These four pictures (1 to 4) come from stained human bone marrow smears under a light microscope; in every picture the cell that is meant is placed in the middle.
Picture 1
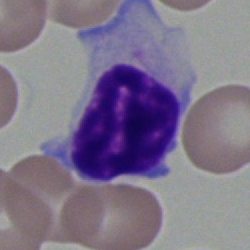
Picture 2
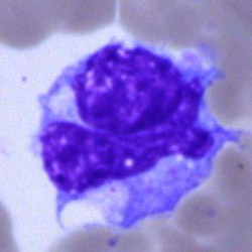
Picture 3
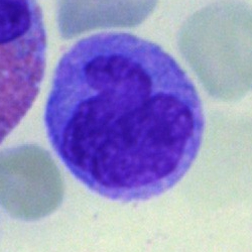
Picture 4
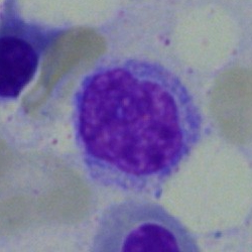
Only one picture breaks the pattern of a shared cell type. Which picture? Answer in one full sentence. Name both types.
Picture 1 differs, because its cell is a lymphocyte and the rest are monocytes.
